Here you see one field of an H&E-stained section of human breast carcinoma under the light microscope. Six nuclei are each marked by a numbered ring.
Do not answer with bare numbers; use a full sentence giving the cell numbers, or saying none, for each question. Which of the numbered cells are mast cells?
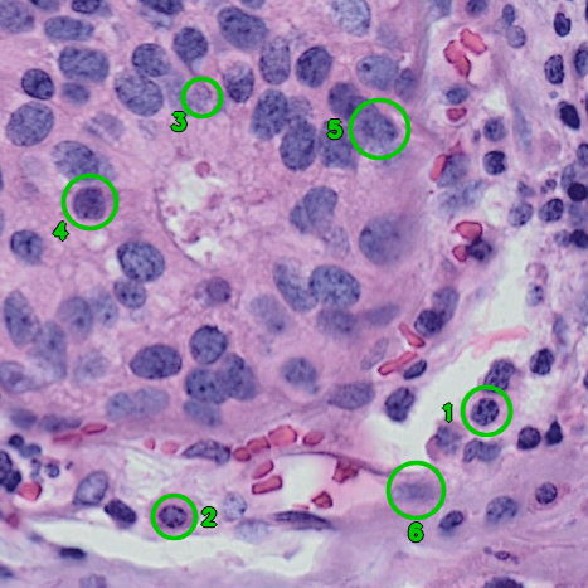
So, the cells with numbers 1 and 2 are mast cells.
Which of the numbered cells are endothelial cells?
Cell 6 represents an endothelial cell, and no other numbered cell does.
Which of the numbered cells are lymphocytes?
Each numbered cell falls outside the category of lymphocytes.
